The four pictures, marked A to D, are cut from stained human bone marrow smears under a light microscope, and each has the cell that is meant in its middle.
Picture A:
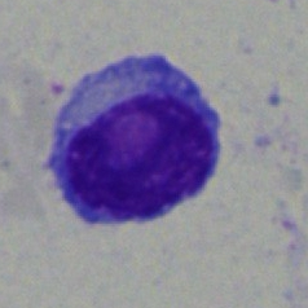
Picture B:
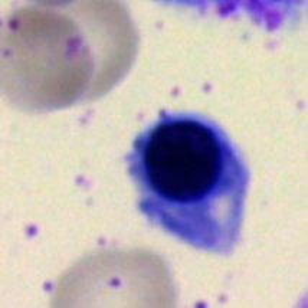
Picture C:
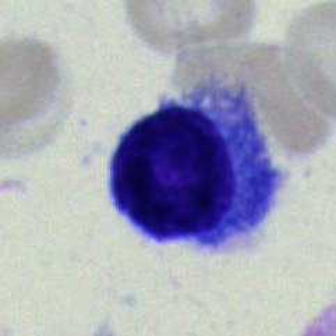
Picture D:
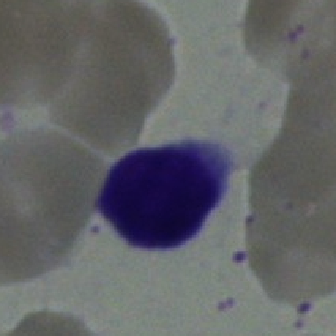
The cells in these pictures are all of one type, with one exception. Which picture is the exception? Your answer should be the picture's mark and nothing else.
B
